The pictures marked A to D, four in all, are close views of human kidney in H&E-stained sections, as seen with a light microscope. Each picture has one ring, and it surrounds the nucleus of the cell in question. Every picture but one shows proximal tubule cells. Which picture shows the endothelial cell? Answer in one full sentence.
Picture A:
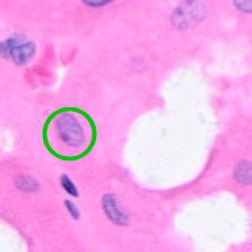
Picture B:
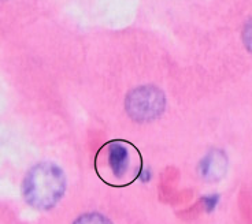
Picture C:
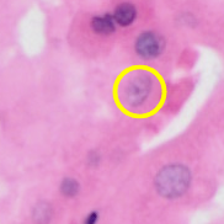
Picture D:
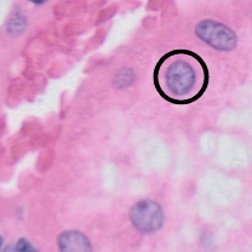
The picture with the endothelial cell is B.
